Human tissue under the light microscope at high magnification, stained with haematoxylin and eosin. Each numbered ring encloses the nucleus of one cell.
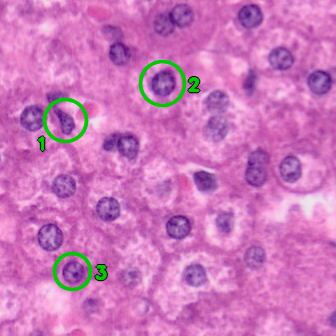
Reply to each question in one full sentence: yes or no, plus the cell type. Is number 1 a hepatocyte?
No, a Kupffer cell, not a hepatocyte, is the cell with number 1.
